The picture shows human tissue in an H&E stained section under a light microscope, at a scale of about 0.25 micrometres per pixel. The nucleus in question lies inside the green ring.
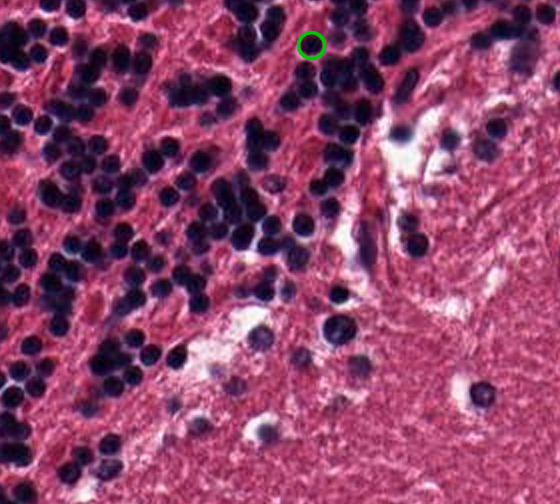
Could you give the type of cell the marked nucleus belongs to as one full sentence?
Part of a cerebellar granule cell is the marked nucleus.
